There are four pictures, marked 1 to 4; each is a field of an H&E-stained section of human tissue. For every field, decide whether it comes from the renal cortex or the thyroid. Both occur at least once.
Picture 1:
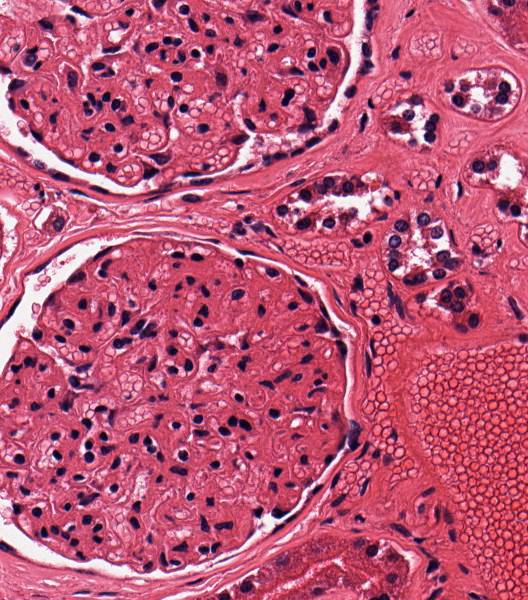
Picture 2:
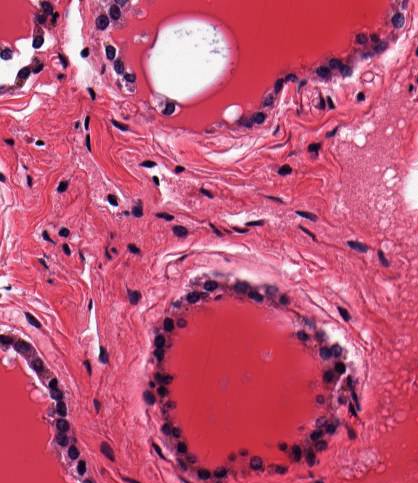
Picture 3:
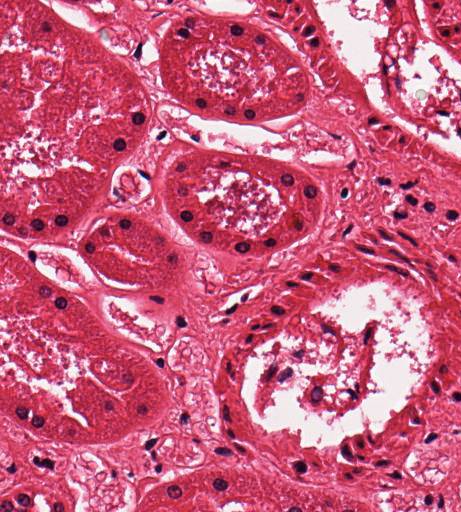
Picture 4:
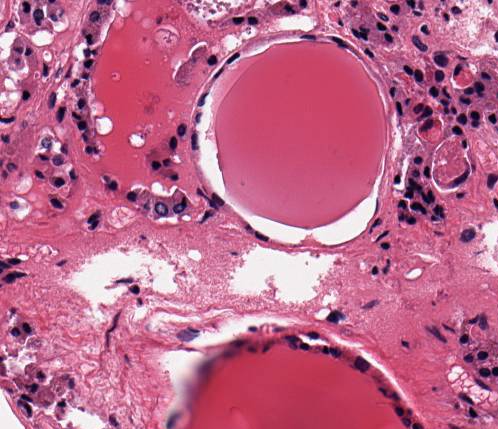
1: renal cortex
2: thyroid
3: renal cortex
4: thyroid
